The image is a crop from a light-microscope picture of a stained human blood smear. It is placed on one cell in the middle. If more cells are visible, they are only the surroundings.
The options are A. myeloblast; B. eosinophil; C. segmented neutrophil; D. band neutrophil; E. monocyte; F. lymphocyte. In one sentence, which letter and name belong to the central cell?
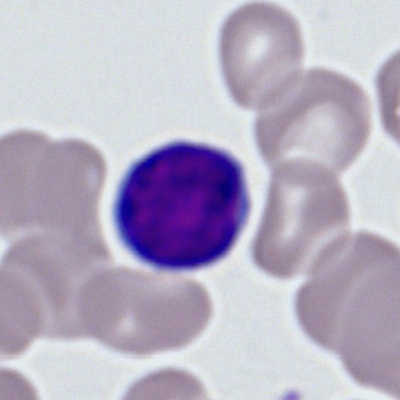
Here the right option is F, as the cell in the middle is a lymphocyte.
